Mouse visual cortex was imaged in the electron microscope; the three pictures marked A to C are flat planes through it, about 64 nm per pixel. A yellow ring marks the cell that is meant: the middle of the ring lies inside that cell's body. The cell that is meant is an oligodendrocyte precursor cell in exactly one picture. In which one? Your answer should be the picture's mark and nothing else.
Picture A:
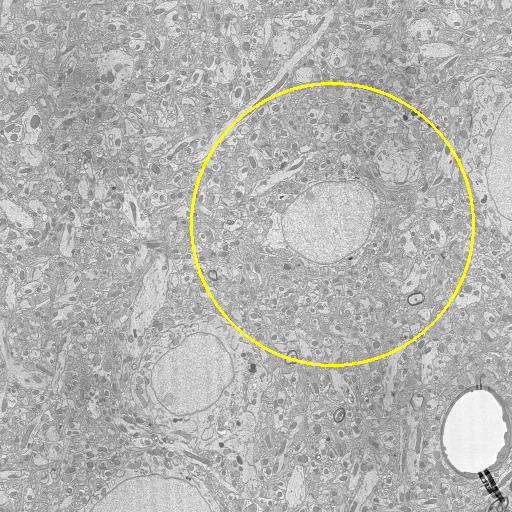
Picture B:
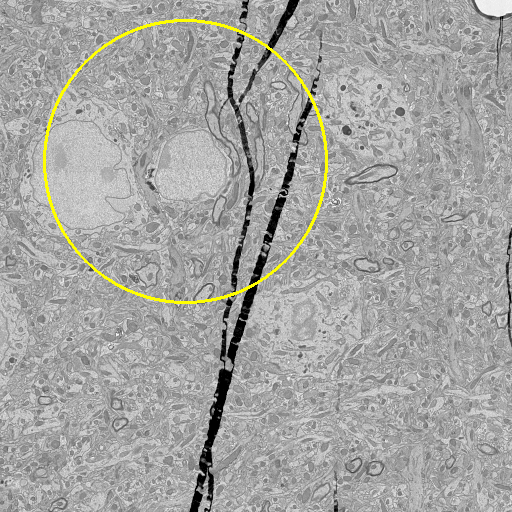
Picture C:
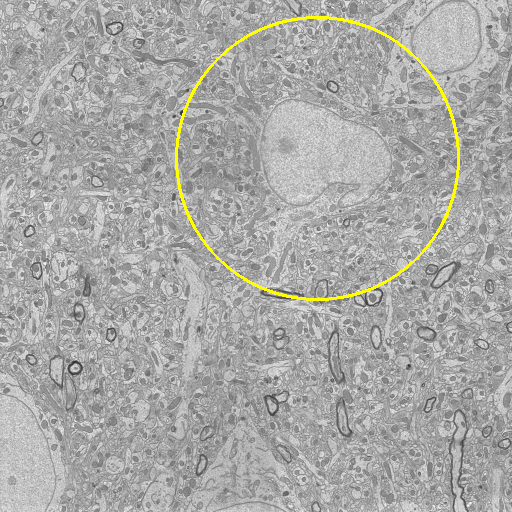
B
